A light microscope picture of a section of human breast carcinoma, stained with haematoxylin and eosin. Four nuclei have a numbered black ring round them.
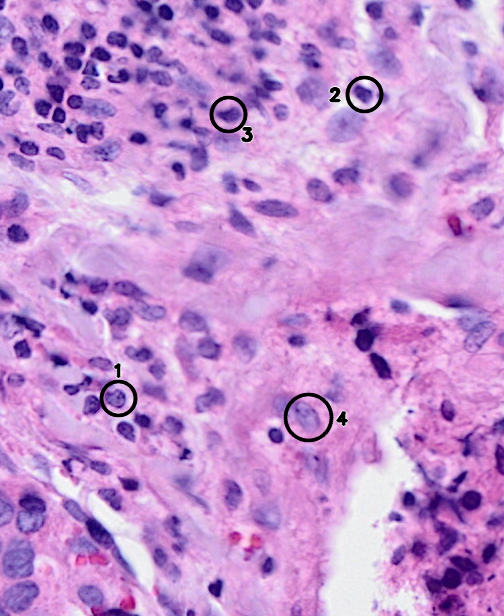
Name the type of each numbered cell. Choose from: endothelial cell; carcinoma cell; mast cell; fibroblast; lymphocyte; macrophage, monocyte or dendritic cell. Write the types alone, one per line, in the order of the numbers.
lymphocyte
lymphocyte
lymphocyte
endothelial cell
